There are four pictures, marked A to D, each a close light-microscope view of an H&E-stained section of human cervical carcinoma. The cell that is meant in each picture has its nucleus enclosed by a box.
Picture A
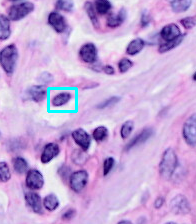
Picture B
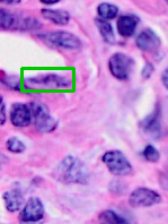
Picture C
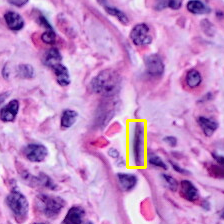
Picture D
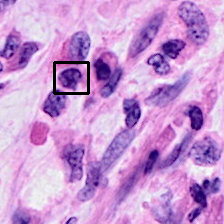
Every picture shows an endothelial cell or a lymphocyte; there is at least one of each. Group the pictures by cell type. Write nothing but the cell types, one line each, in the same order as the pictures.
lymphocyte
endothelial cell
endothelial cell
lymphocyte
